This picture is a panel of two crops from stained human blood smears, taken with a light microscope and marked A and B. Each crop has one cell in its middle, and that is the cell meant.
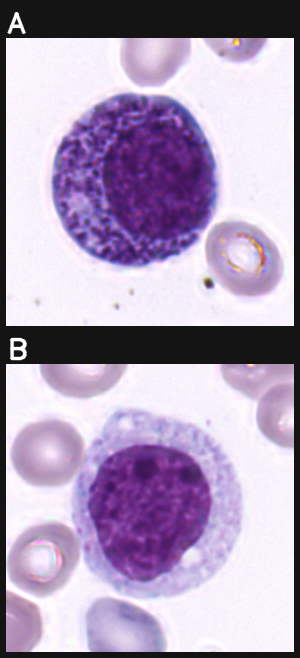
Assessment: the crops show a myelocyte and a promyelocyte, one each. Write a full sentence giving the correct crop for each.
Well, crop A is a promyelocyte, and crop B is a myelocyte.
